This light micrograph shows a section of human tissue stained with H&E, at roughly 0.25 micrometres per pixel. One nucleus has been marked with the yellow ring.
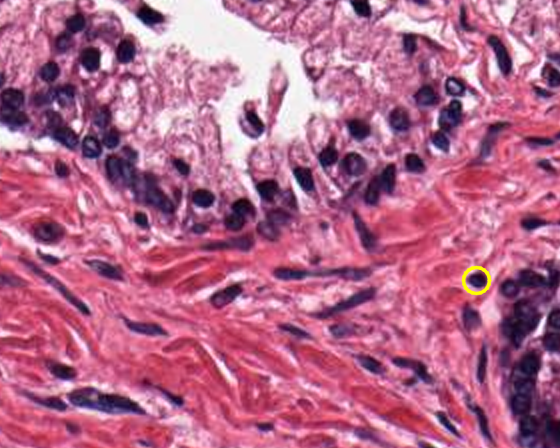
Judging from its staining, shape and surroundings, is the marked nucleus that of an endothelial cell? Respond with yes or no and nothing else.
no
